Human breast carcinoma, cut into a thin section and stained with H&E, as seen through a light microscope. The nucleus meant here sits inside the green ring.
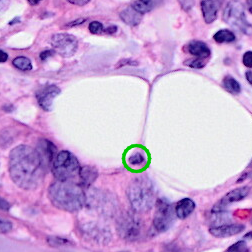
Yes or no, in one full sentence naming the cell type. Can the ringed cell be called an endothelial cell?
No, put down a lymphocyte for the ringed cell, not an endothelial cell.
